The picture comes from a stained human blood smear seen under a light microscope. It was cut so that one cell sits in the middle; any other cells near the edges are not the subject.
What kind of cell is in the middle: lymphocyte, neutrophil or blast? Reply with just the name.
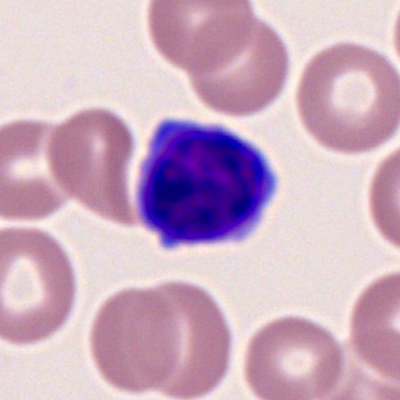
lymphocyte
